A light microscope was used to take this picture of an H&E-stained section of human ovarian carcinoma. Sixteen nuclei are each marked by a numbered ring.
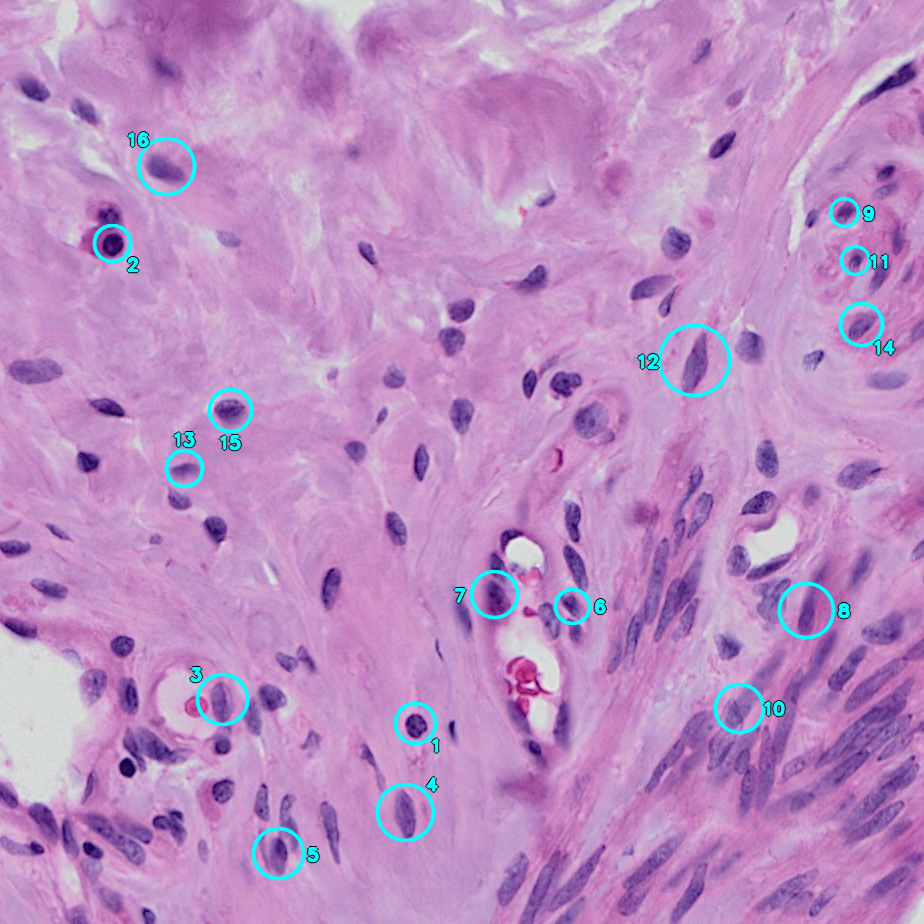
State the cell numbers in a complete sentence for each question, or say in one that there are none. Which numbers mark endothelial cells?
In terms of cell type, cells 3, 6 and 7 are endothelial cells.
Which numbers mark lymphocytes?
The cells carrying the numbers 1 and 2 are lymphocytes.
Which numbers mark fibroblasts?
Identification: the cells with numbers 4, 5, 13, 15 and 16 are fibroblasts.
